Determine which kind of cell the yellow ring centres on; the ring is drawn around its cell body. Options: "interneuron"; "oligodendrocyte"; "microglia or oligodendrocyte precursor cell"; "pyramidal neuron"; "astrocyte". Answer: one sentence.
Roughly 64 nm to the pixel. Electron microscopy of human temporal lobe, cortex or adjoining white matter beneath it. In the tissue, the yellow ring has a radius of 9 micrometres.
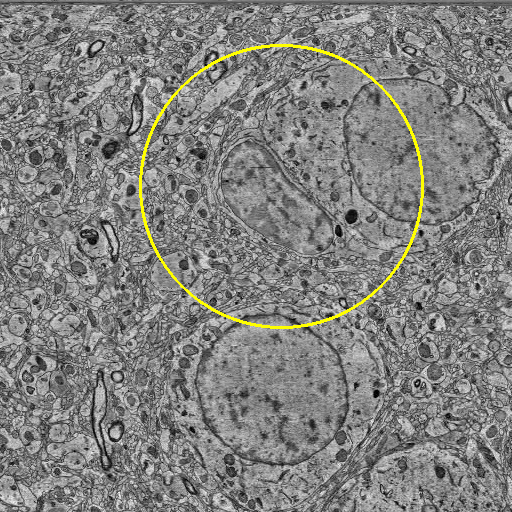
The ring centres on a microglial cell or oligodendrocyte precursor cell.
